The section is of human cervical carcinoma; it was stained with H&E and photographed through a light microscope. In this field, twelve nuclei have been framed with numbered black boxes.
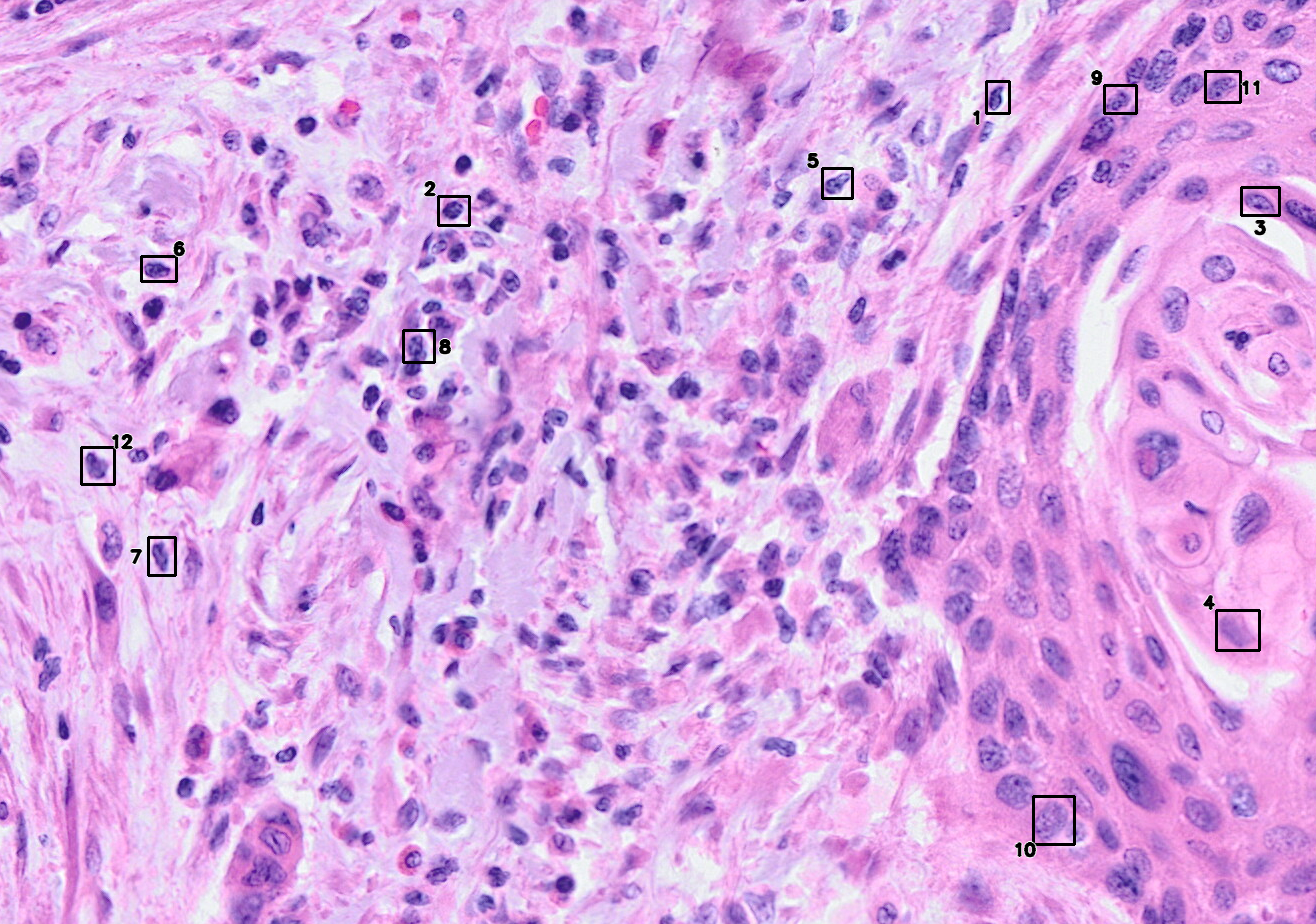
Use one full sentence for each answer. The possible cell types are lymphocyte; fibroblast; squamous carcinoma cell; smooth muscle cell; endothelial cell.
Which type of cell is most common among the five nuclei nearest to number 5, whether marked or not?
Fibroblasts account for more than half of the five nuclei nearest to number 5.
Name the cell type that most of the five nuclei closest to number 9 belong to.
The majority of the five nuclei closest to number 9 belong to squamous carcinoma cells.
